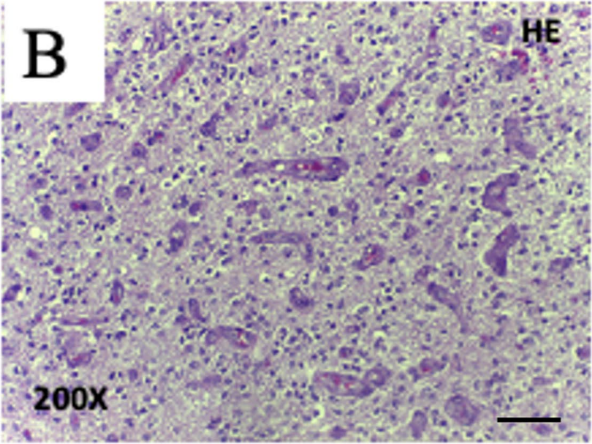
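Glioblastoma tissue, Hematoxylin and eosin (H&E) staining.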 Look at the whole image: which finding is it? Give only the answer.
Microvascular proliferation with glomeruloid-like vessels.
